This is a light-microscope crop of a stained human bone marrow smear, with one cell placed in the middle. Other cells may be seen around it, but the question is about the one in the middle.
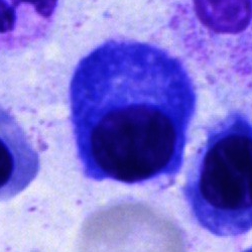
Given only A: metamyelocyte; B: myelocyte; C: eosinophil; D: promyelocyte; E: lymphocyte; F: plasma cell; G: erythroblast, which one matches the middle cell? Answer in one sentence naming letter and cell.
Option F is correct; the cell in the middle is a plasma cell.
